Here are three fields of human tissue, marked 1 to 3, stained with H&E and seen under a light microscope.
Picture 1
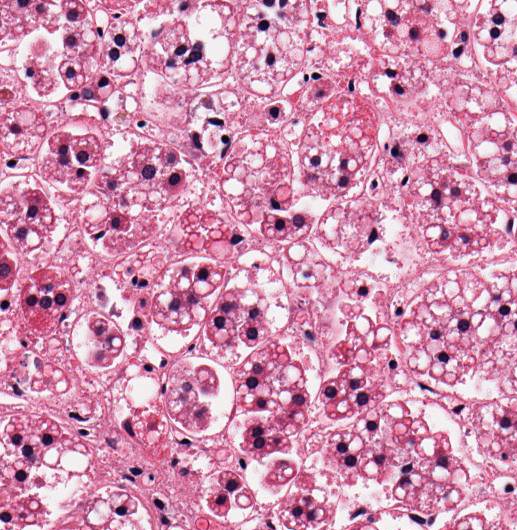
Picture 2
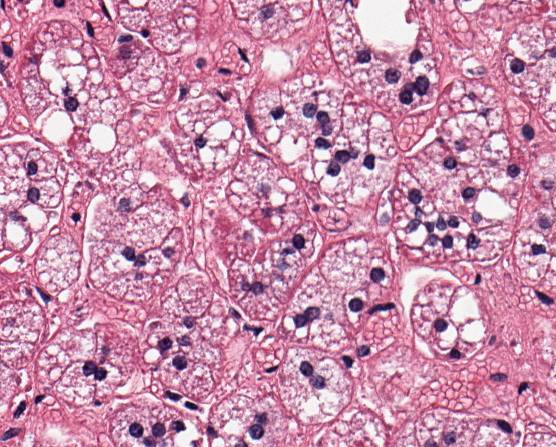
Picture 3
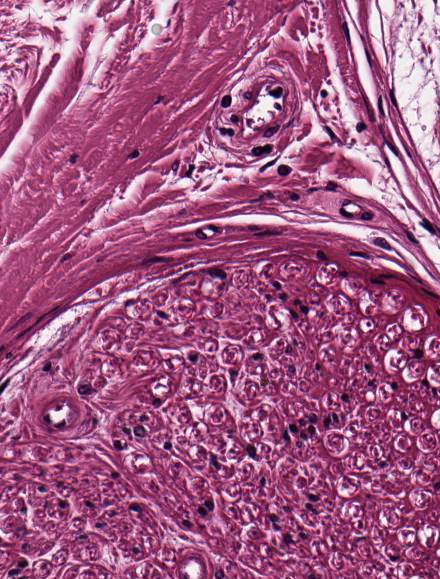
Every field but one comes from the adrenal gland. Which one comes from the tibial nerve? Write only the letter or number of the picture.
3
